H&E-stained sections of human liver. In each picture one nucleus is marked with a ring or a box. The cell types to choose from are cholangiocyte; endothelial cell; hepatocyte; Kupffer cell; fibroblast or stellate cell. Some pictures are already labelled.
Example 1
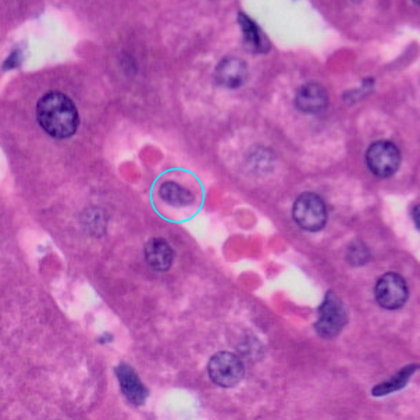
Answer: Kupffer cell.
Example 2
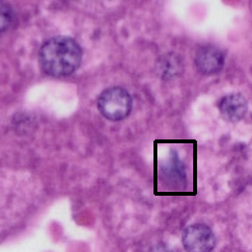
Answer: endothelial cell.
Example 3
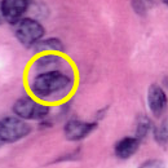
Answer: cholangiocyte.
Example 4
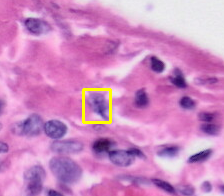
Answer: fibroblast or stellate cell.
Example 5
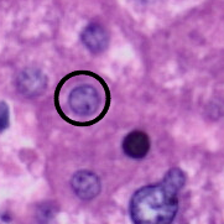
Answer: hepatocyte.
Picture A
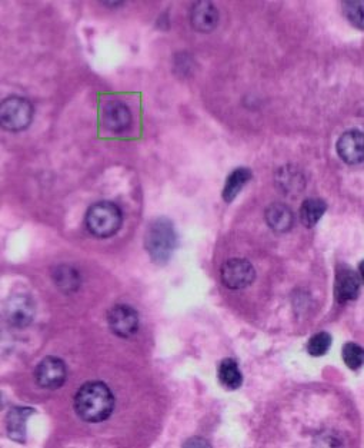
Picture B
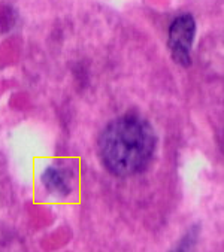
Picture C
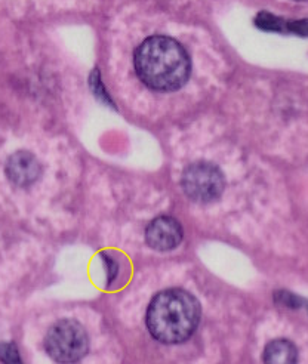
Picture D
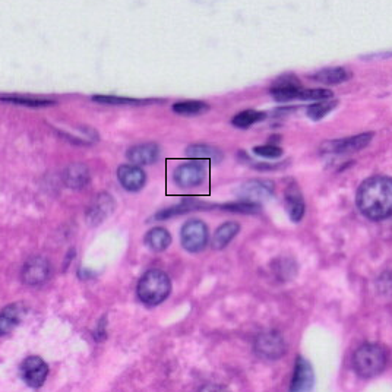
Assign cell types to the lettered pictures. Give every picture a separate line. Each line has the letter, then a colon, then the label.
A: hepatocyte.
B: endothelial cell.
C: endothelial cell.
D: cholangiocyte.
